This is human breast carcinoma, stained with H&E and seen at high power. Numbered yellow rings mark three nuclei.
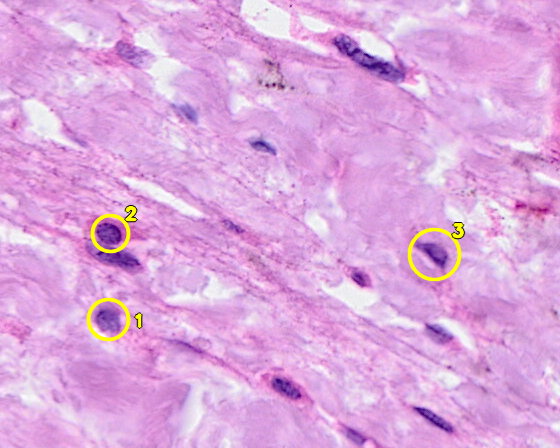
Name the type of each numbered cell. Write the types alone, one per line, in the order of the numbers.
macrophage, monocyte or dendritic cell
mast cell
fibroblast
